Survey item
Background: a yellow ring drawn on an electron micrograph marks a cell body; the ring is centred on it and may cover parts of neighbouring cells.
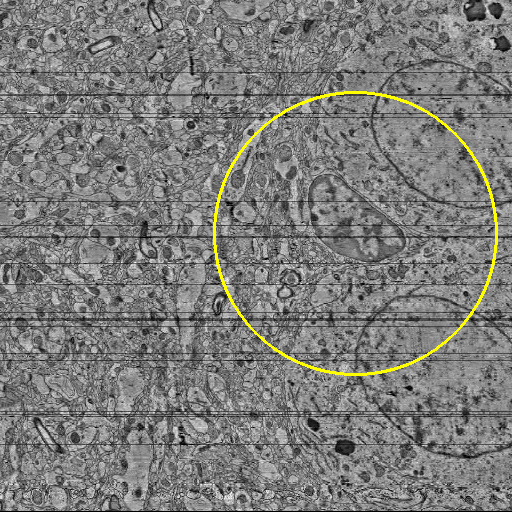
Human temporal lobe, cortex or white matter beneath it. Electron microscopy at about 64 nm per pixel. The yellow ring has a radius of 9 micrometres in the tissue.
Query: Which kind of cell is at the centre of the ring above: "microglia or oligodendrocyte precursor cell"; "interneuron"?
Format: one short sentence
The cell in the middle of the ring is a microglial cell or oligodendrocyte precursor cell.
